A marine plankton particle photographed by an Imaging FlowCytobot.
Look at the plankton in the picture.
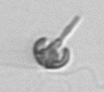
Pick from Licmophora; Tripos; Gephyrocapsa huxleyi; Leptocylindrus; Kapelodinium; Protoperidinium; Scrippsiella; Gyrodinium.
Tripos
